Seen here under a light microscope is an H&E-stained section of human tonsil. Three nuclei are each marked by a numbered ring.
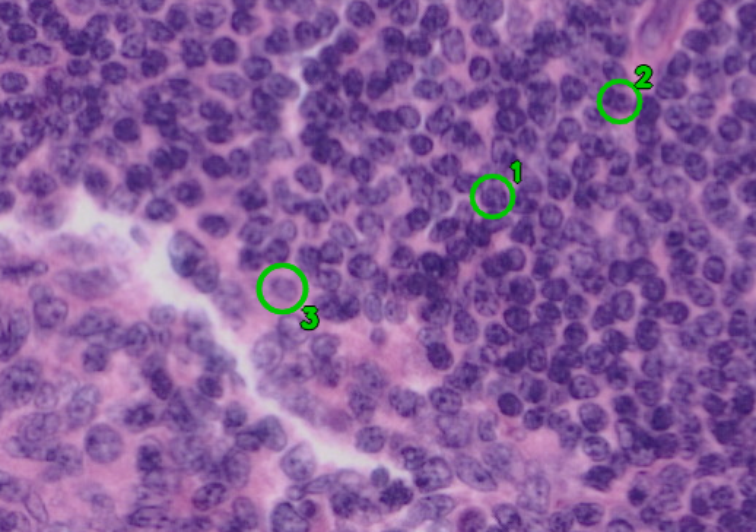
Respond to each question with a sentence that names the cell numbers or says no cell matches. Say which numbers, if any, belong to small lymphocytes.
The cells identified by the numbers 1 and 2 are small lymphocytes.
